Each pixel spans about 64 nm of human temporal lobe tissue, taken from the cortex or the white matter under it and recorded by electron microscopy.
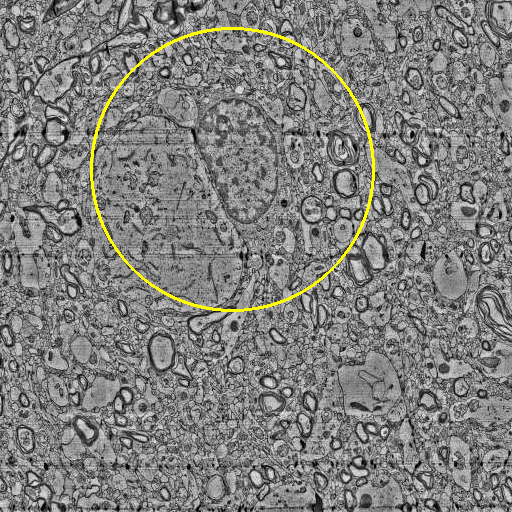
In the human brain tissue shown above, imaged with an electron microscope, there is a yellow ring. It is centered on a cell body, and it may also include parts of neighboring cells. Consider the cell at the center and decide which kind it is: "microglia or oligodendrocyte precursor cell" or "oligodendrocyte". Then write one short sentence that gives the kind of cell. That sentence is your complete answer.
This centered cell body is that of an oligodendrocyte.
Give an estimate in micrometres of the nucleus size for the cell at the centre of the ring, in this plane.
At approximately 8 by 5 micrometres, the nucleus is clearly longer than it is wide in this plane.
